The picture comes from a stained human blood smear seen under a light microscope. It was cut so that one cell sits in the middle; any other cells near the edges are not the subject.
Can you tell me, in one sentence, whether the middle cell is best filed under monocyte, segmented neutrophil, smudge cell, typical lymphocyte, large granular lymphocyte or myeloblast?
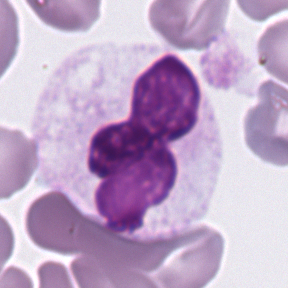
Framed in the middle of the crop is a segmented neutrophil.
